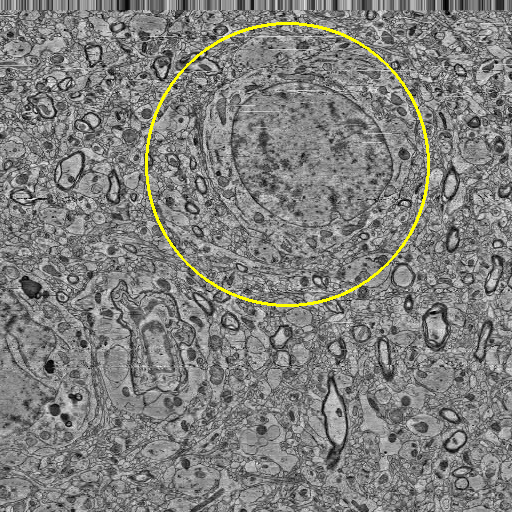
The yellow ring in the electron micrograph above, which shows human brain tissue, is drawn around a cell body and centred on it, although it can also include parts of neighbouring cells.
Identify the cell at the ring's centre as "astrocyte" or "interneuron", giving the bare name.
interneuron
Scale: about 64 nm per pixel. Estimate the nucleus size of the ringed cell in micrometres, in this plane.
The nucleus has a long axis of about 11 micrometres and a short axis of about 9 micrometres in this plane.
